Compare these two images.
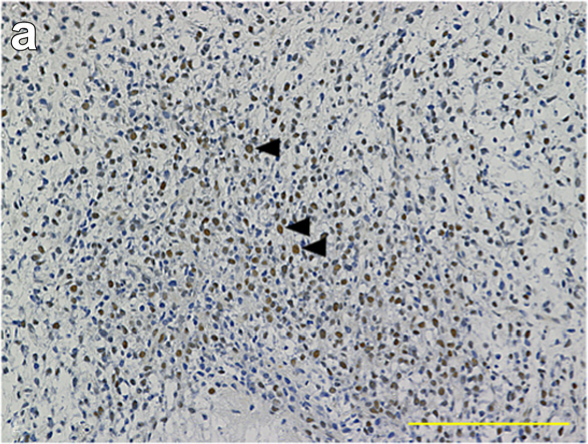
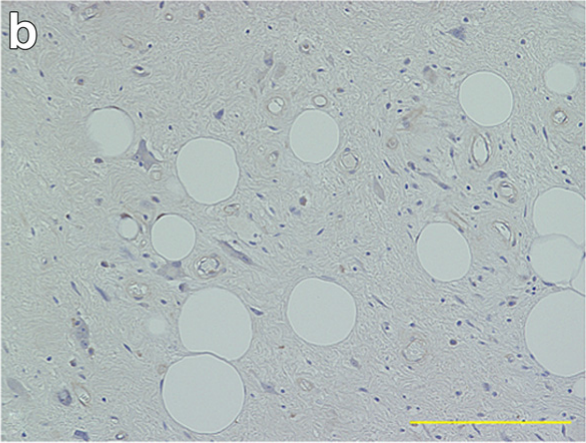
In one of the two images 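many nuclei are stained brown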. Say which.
the first image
